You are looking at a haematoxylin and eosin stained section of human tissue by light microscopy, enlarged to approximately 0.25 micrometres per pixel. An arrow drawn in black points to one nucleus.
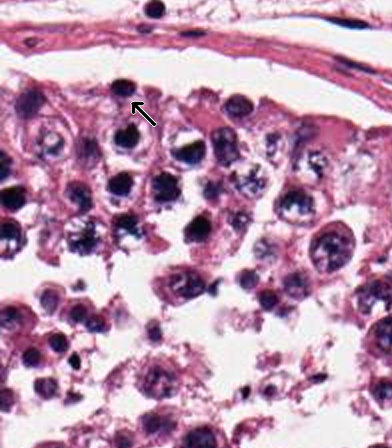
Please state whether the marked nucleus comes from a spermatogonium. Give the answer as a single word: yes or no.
yes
